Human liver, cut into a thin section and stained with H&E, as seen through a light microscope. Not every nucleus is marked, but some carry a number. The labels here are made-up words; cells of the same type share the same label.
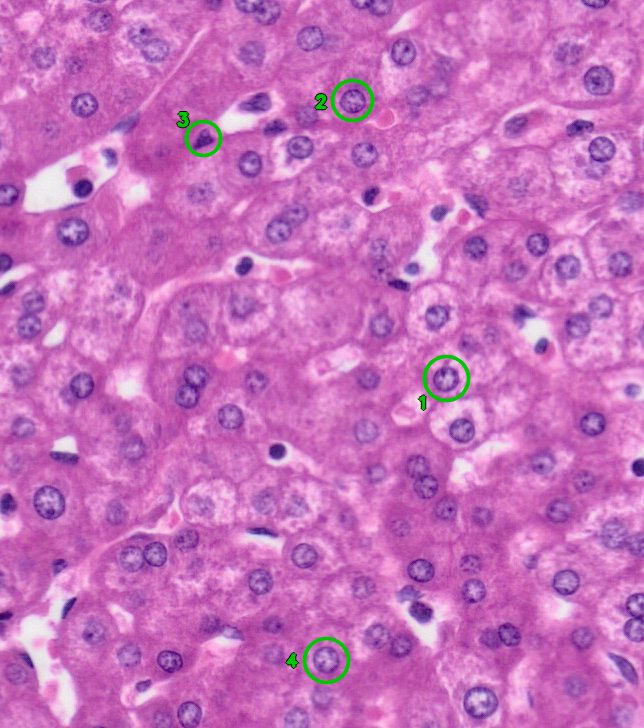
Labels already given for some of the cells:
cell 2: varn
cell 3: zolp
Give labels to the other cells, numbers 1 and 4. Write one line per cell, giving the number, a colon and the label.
1: varn
4: varn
